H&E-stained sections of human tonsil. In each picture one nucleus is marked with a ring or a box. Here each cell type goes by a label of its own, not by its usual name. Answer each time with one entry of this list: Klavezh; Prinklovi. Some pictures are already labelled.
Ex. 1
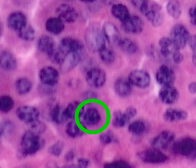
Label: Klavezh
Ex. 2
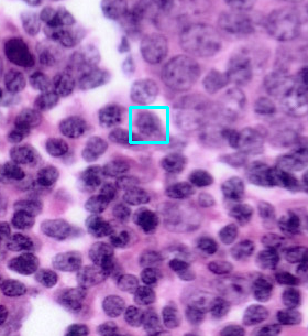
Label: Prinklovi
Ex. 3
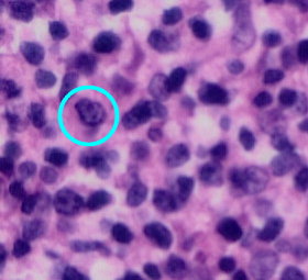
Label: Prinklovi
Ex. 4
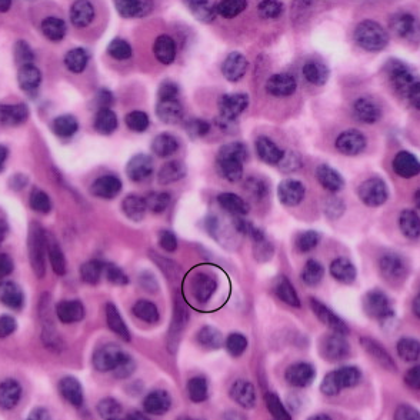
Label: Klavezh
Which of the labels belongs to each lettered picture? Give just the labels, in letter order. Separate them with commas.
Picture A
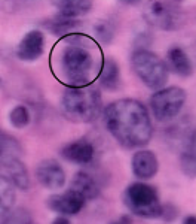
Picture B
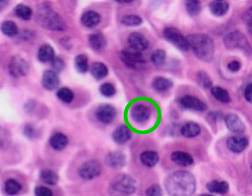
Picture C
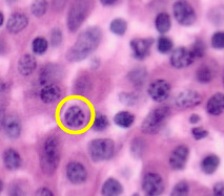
Prinklovi, Klavezh, Klavezh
